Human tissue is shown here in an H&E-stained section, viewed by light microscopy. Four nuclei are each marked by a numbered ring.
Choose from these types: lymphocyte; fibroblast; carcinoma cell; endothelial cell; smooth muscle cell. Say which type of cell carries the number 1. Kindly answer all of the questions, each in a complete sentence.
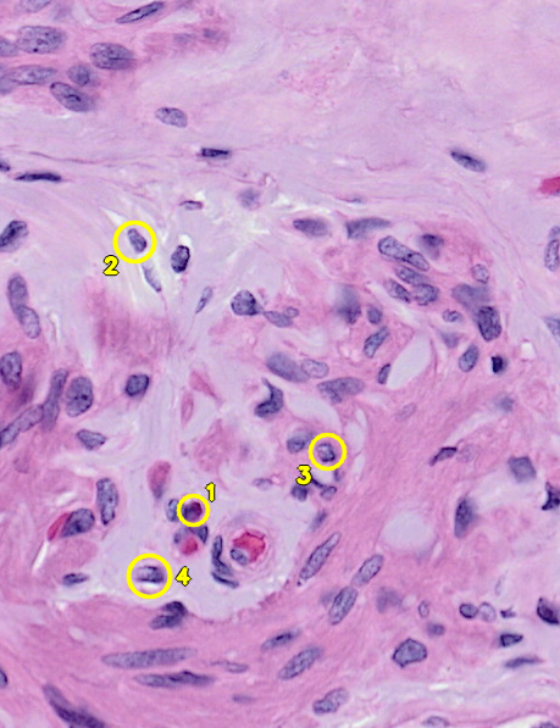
In this section, number 1 marks an endothelial cell.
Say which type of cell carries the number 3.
Here the cell numbered 3 is a smooth muscle cell.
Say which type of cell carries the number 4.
In the tissue shown, cell 4 is an endothelial cell.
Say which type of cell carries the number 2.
The cell whose nucleus carries the number 2 is a lymphocyte.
